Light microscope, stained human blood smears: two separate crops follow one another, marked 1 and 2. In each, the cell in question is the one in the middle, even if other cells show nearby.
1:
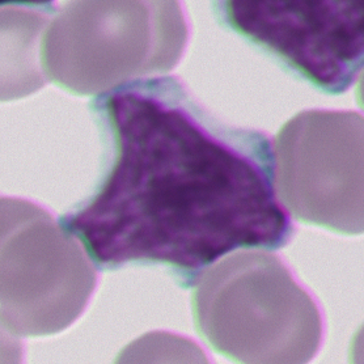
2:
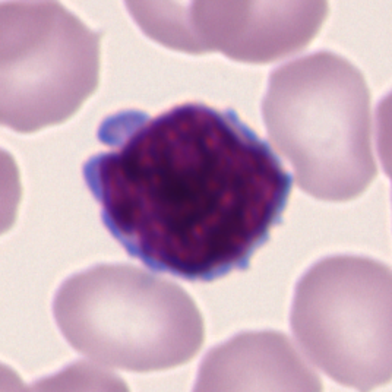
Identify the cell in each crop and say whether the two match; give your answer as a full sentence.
Yes, both crops show typical lymphocytes, the one and the other.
